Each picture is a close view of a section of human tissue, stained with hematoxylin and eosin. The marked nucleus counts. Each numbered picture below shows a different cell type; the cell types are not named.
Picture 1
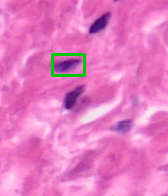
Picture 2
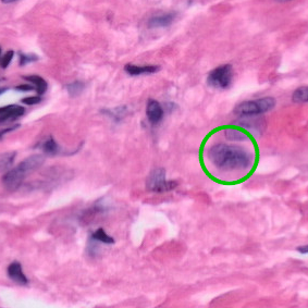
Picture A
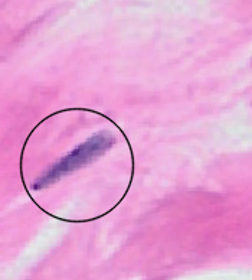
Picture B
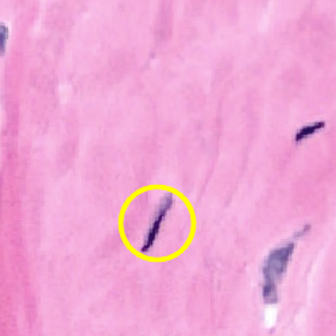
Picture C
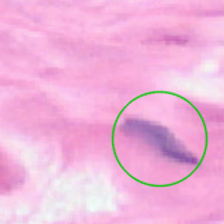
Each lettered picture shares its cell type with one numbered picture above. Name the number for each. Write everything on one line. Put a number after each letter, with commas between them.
A 1, B 1, C 1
